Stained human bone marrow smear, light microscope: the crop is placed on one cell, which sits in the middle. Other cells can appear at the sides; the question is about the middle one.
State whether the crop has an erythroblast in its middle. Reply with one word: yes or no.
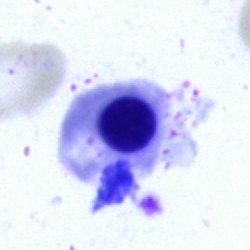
yes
